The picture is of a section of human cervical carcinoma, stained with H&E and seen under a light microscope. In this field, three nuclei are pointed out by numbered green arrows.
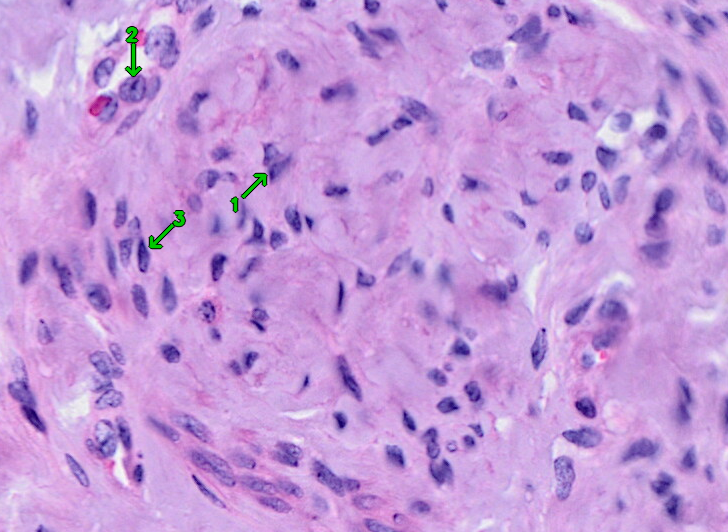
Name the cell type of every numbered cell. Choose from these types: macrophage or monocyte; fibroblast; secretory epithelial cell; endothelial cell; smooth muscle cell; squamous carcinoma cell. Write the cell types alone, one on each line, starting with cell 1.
fibroblast
endothelial cell
fibroblast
